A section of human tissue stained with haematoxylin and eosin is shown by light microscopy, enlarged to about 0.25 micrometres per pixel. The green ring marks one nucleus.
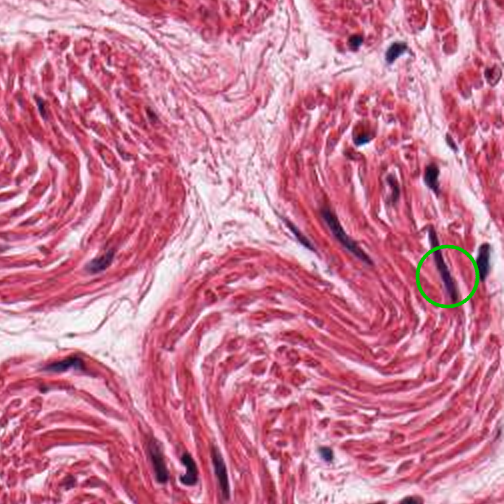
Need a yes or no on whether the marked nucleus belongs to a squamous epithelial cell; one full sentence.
No, the marked nucleus is not contained in a squamous epithelial cell.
